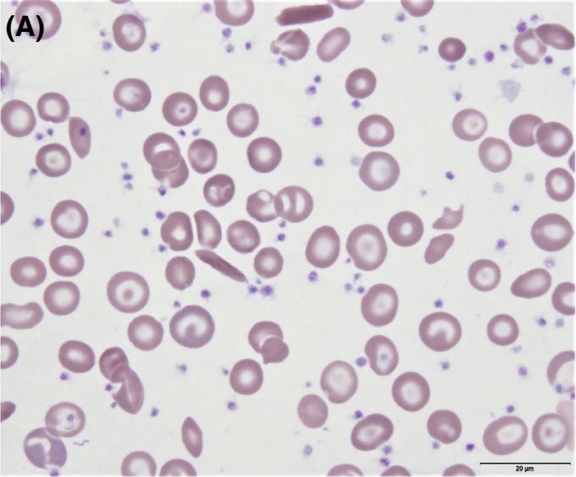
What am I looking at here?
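Peripheral blood with red cells of varied shape: most are round with central pallor, some are elongated crescent-shaped sickle cells, and some are target cells with a central dense spot inside a pale ring. Many small purple platelets lie scattered between the red cells.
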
